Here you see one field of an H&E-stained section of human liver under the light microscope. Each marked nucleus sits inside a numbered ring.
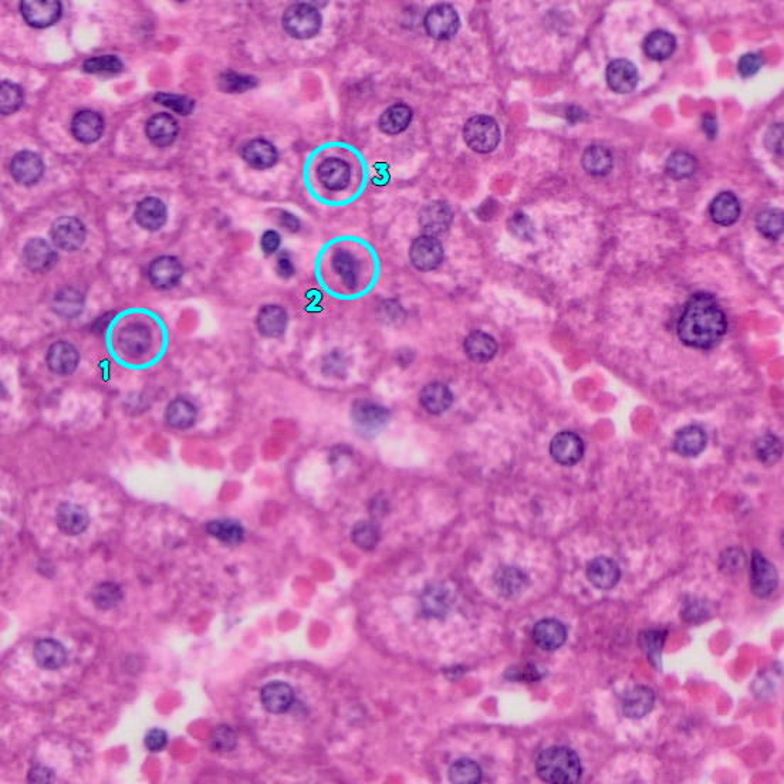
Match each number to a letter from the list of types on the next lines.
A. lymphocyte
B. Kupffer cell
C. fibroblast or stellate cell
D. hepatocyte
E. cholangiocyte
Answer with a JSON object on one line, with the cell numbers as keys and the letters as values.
{"1": "D", "2": "C", "3": "D"}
